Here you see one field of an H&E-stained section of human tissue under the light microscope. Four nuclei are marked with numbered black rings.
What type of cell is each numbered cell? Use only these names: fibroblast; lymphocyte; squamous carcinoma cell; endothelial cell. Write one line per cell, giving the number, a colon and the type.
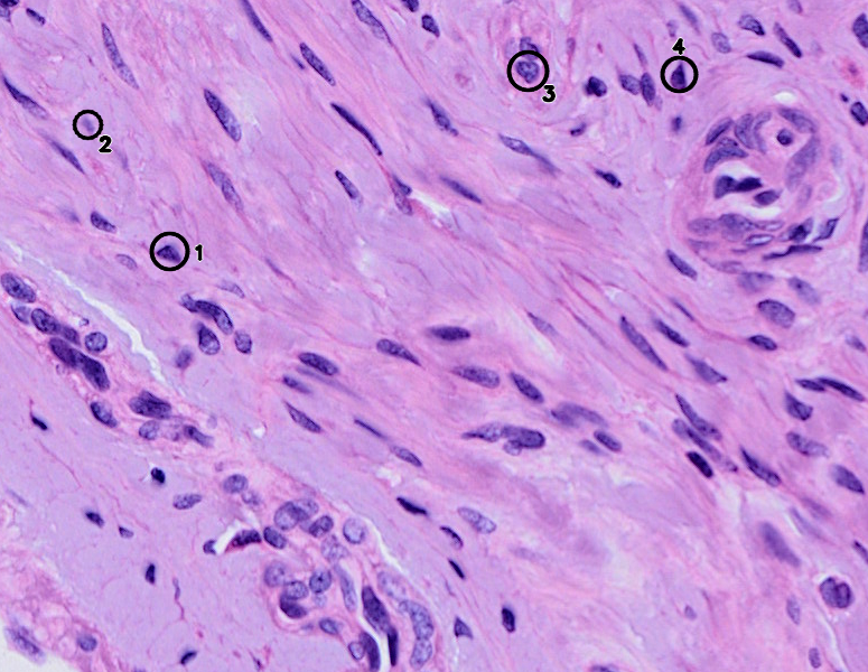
1: fibroblast
2: fibroblast
3: endothelial cell
4: fibroblast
